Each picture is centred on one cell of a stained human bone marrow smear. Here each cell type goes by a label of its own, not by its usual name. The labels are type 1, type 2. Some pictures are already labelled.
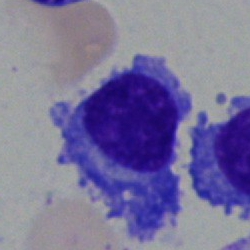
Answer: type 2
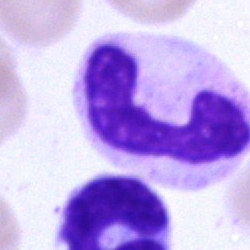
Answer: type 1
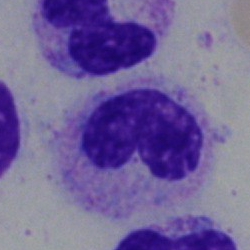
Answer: type 1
